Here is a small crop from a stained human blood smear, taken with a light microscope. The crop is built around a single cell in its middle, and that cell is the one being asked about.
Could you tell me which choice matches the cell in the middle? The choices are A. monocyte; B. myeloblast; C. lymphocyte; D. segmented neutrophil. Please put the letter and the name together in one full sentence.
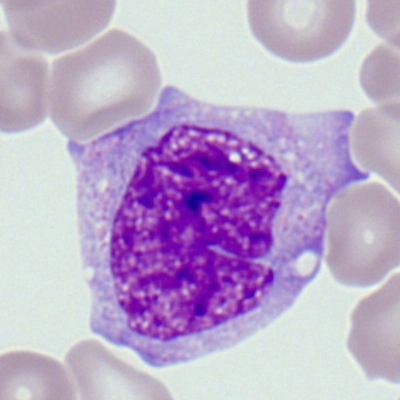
It is a monocyte that occupies the centre of the crop, so option A is correct.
